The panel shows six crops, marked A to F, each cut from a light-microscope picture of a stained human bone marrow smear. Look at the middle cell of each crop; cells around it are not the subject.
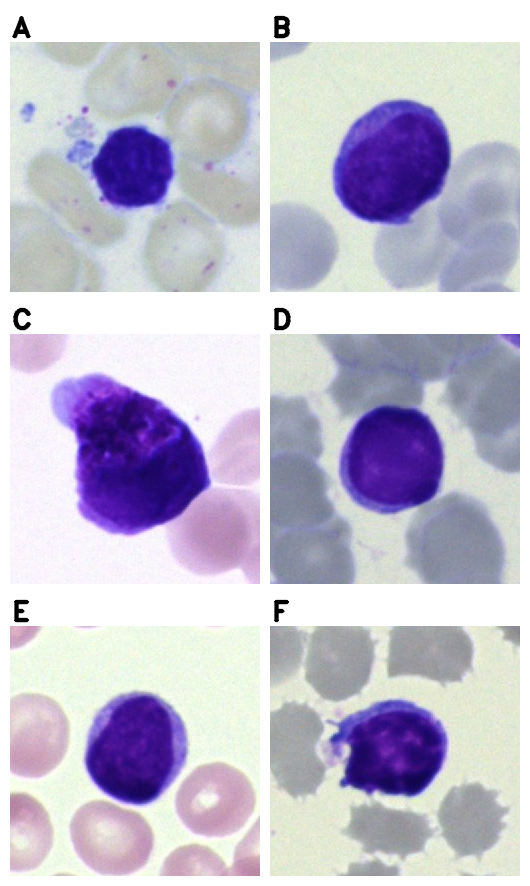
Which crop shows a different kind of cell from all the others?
C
